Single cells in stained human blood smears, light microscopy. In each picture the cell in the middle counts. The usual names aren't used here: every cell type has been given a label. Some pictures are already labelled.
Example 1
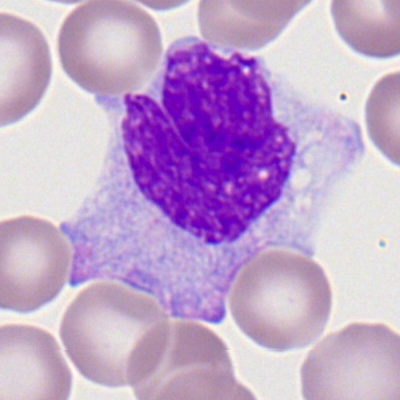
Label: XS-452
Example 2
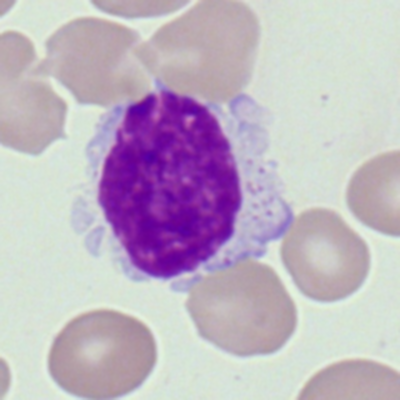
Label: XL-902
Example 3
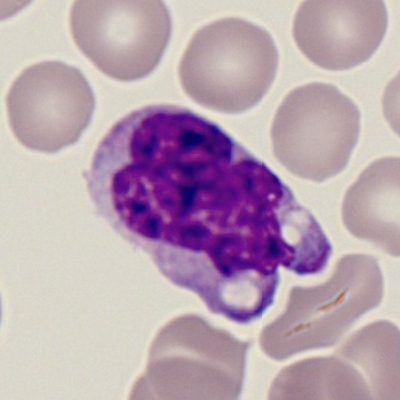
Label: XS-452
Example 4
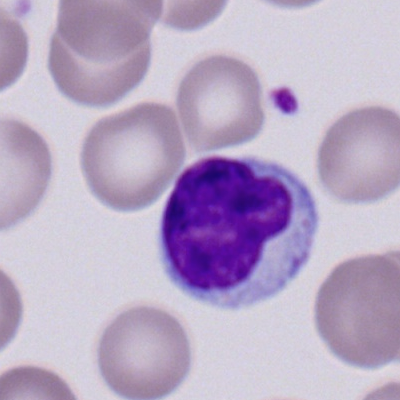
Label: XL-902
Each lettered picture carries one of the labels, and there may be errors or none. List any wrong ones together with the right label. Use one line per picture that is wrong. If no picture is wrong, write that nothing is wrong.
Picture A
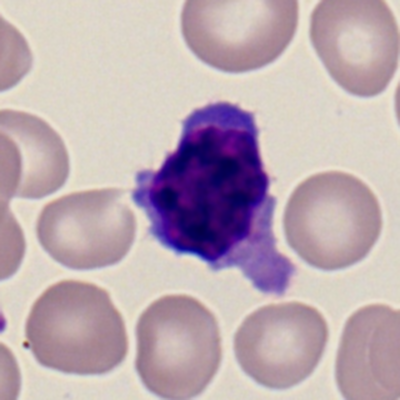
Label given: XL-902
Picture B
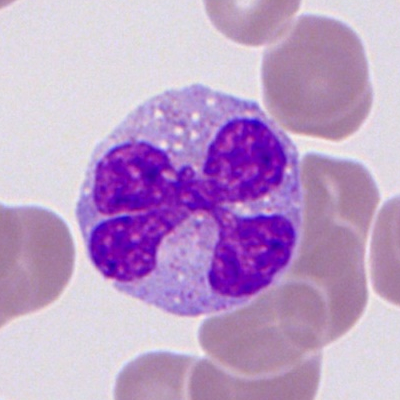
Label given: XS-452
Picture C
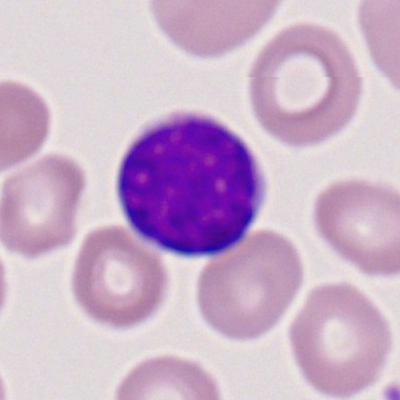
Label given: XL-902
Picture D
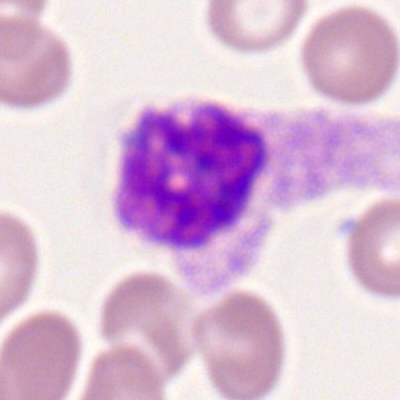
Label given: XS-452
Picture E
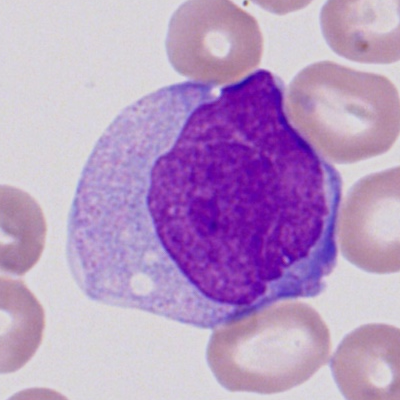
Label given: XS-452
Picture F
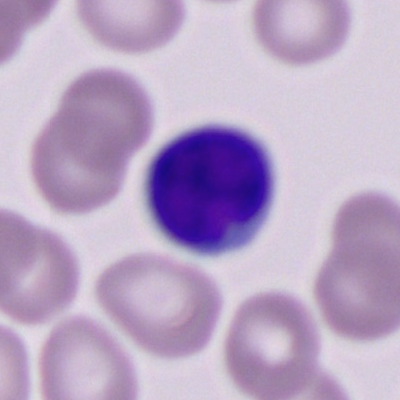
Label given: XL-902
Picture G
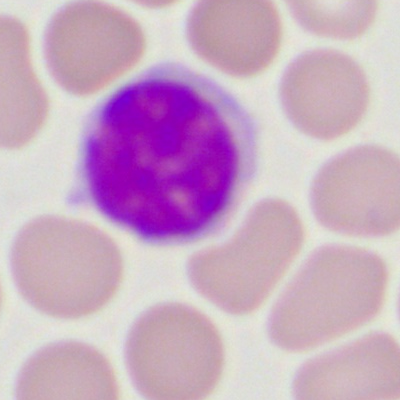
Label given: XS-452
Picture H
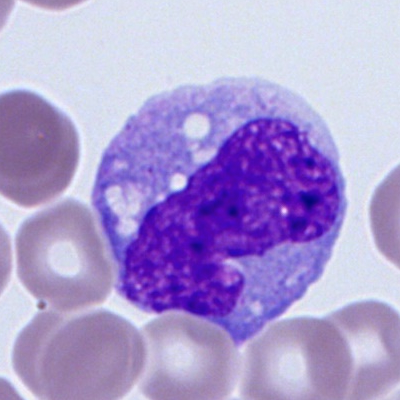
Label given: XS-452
G is labelled XS-452; correct label: XL-902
